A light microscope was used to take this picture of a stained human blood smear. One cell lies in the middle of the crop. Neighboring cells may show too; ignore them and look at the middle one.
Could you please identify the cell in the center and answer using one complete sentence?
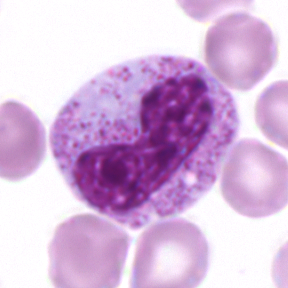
The central cell shown in this smear crop is a band neutrophil.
